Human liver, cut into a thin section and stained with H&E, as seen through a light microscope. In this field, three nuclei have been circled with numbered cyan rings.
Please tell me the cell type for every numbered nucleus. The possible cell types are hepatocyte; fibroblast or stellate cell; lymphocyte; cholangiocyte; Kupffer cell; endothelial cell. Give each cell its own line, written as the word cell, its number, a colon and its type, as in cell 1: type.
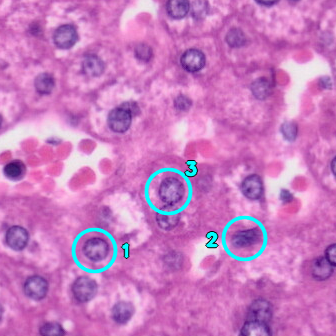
cell 1: hepatocyte
cell 2: fibroblast or stellate cell
cell 3: hepatocyte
